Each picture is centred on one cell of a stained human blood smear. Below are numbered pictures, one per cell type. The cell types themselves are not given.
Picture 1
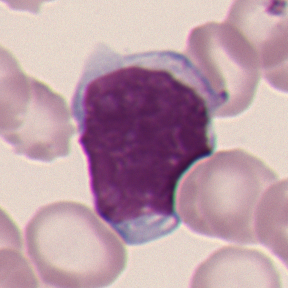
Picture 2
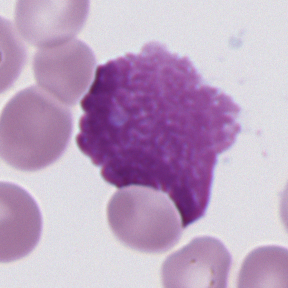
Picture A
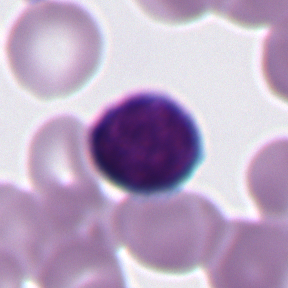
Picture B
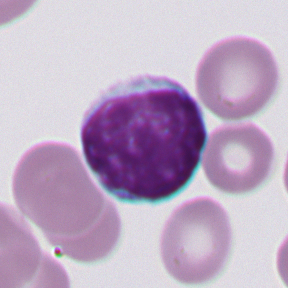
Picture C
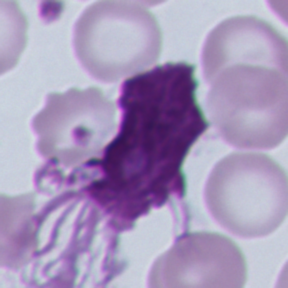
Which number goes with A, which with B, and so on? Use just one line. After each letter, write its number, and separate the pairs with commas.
A 1, B 1, C 2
